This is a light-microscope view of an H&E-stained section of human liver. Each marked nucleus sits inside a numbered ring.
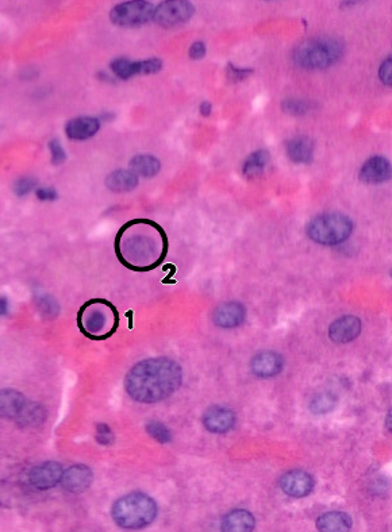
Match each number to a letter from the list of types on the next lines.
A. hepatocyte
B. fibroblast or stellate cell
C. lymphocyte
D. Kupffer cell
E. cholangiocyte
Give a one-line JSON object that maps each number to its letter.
{"1": "C", "2": "A"}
